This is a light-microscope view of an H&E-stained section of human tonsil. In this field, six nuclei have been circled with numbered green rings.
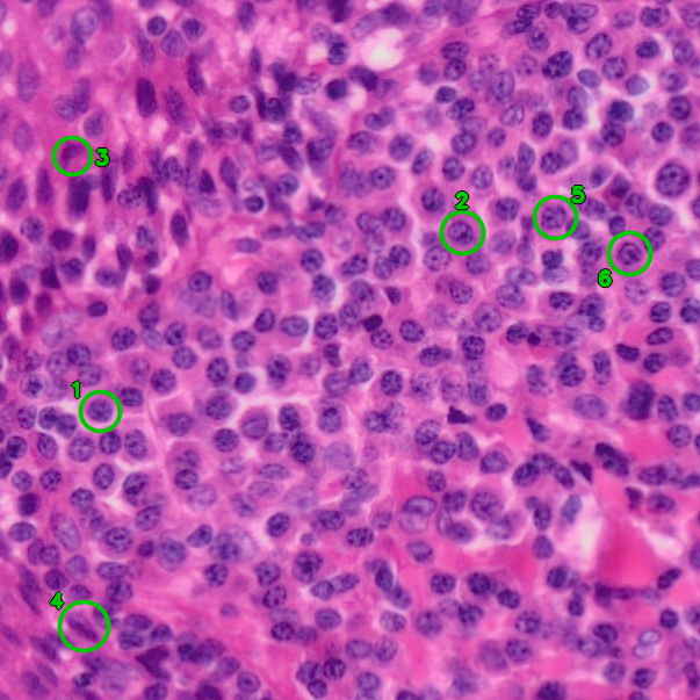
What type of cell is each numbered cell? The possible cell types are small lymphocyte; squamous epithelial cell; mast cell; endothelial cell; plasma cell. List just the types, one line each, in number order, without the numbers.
plasma cell
plasma cell
squamous epithelial cell
squamous epithelial cell
plasma cell
plasma cell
